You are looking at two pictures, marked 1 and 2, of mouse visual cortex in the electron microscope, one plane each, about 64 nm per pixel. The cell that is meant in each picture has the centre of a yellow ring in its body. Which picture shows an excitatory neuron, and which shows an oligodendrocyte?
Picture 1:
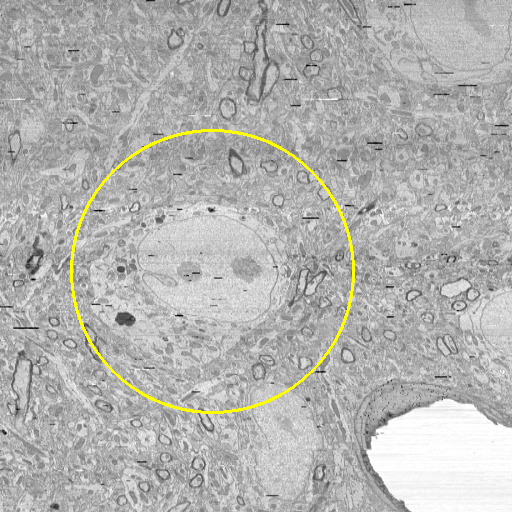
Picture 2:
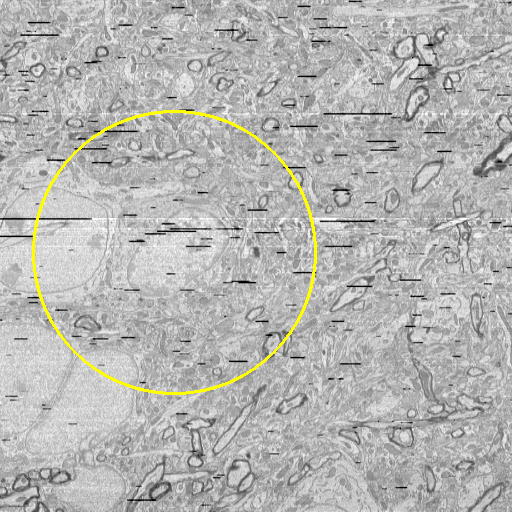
Picture 1 is of an excitatory neuron, and picture 2 is of an oligodendrocyte.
